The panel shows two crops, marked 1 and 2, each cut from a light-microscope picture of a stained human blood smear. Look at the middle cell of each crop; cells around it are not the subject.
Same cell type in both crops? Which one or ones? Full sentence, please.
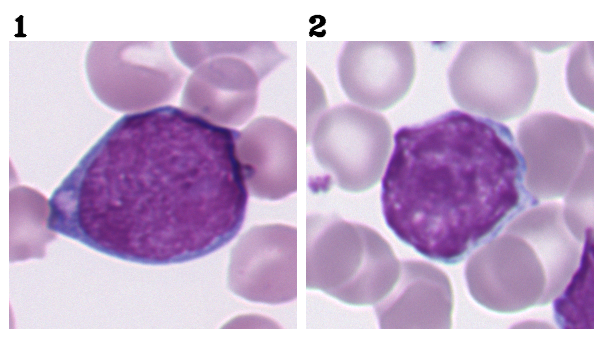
No, crop 1 depicts a myeloblast, and crop 2 depicts a typical lymphocyte.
